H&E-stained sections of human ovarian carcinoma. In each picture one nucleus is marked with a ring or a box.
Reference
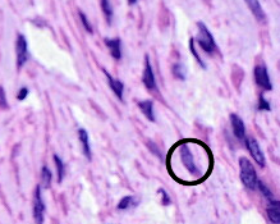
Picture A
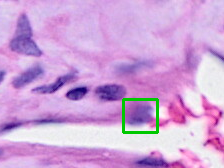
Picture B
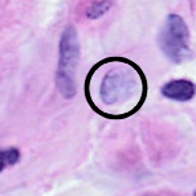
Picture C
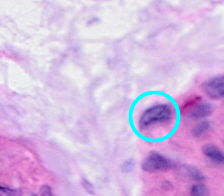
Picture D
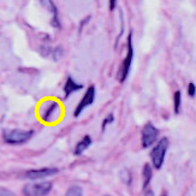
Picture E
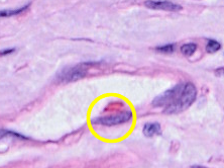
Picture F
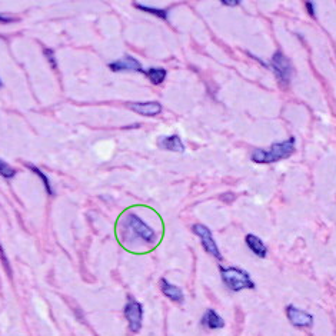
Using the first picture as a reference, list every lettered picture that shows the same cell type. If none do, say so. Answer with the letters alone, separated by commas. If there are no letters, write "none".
B, D, F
